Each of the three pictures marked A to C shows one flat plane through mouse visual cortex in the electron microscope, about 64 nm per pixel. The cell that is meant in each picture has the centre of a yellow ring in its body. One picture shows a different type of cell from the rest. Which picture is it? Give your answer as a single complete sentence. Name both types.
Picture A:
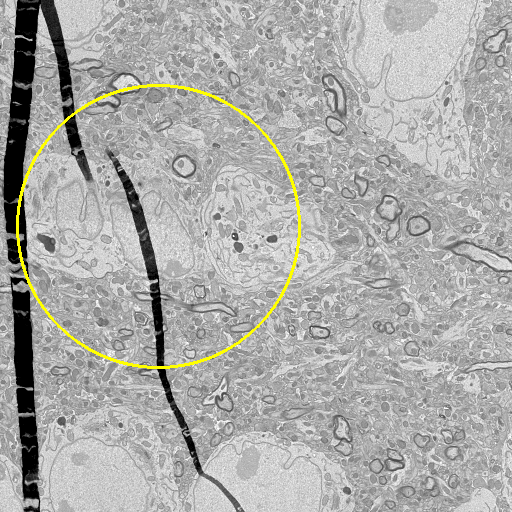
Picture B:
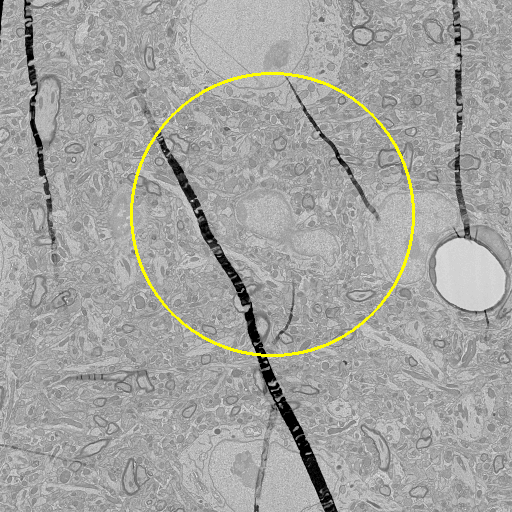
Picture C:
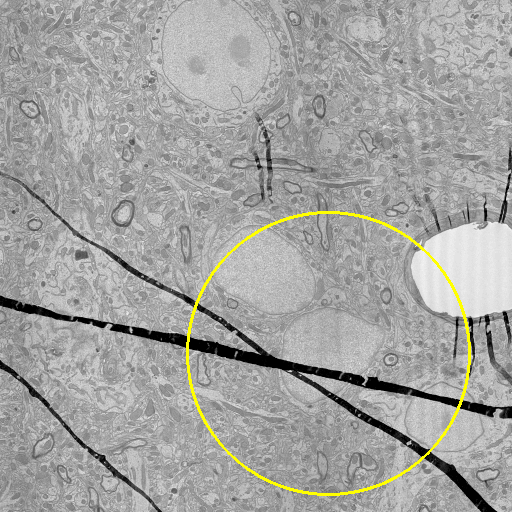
All pictures except C show oligodendrocyte precursor cells; picture C shows an astrocyte.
